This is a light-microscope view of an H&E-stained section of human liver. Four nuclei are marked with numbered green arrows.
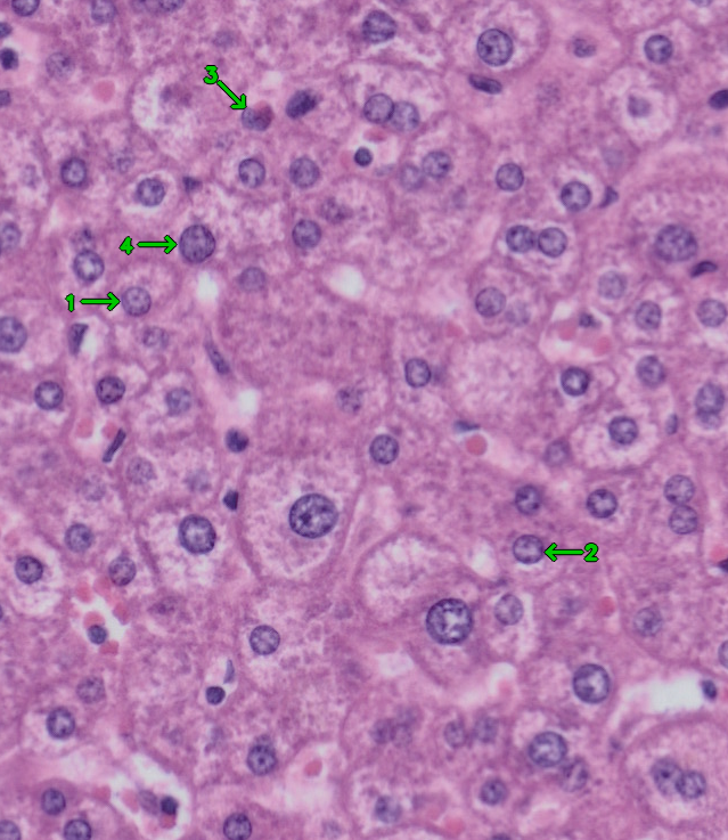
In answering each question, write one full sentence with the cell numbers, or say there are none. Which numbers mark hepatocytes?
The cells shown with numbers 1, 2 and 4 are hepatocytes.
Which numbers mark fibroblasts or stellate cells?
No fibroblasts or stellate cells are present among the cells marked with numbers.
